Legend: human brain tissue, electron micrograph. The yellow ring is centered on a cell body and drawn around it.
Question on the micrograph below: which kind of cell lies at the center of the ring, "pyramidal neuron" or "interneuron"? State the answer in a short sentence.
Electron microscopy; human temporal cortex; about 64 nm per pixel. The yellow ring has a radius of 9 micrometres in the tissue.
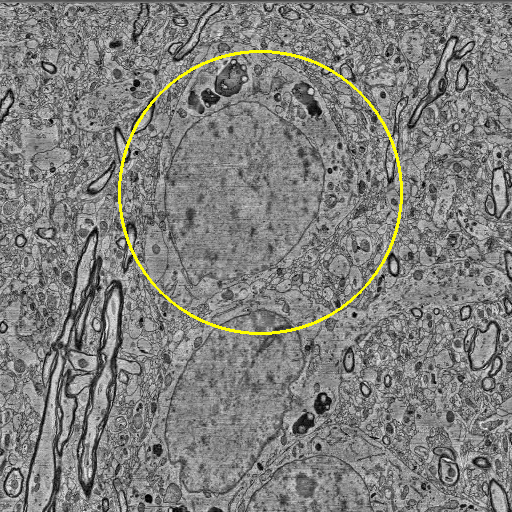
At the center of the ring lies an interneuron.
